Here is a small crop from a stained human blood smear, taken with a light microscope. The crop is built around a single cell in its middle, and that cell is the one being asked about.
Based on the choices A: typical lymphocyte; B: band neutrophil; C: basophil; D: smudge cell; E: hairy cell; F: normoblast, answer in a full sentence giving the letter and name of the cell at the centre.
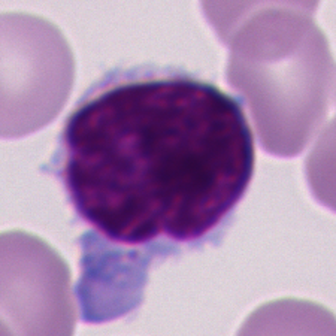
The central cell, a typical lymphocyte, is correctly identified by option A.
